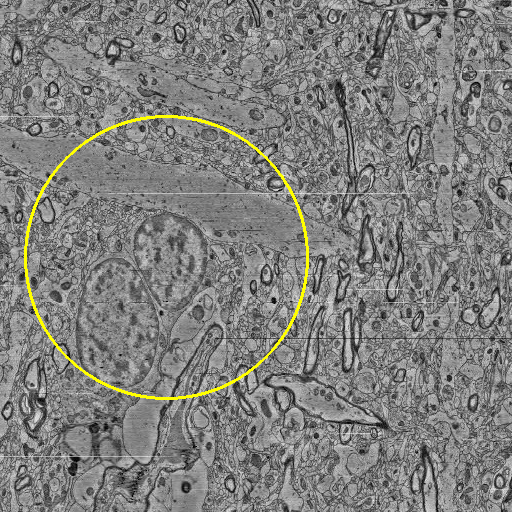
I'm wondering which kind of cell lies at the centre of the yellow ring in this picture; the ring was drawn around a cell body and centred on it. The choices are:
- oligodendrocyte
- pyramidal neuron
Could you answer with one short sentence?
At the centre of the ring lies an oligodendrocyte.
